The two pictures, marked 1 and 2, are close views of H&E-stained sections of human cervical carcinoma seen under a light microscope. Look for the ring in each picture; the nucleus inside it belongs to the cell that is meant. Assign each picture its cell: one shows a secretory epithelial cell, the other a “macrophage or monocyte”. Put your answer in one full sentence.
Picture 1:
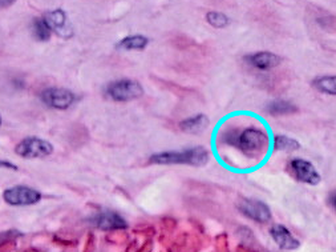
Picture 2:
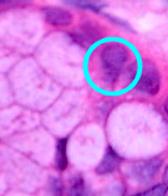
Picture 1 shows a “macrophage or monocyte” and picture 2 shows a secretory epithelial cell.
